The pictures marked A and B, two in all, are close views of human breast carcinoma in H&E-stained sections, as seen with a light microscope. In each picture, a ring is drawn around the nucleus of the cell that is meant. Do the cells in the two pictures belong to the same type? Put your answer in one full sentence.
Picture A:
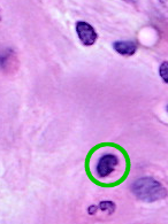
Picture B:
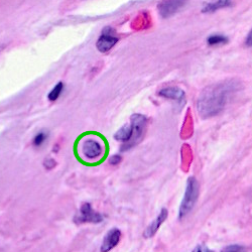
No. Picture A shows a lymphocyte, but picture B shows a mast cell.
